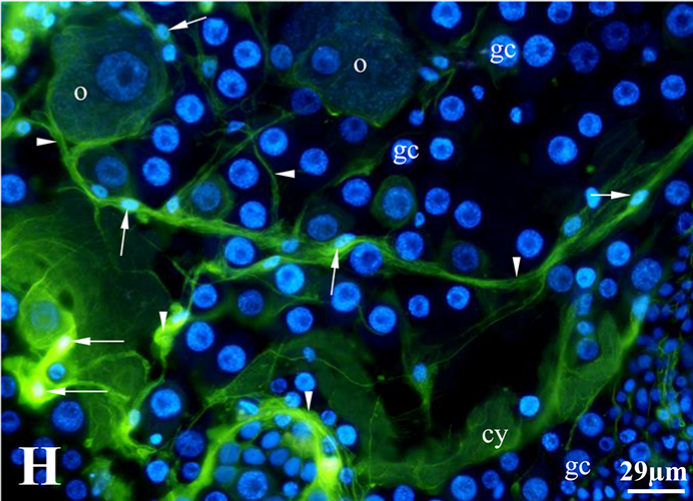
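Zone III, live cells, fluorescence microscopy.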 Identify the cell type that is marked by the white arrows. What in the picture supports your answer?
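The arrows point to small, elongated, bright blue nuclei. These nuclei lie on the thin green strands, unlike the large round nuclei of the surrounding cells.
Somatic cells.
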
